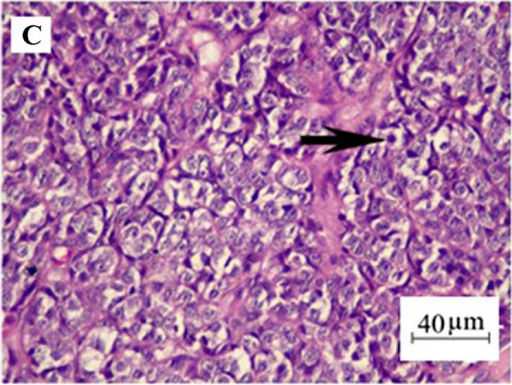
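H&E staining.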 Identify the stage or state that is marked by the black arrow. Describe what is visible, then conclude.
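Mitotic figures. Surrounding cells have pale round nuclei.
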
